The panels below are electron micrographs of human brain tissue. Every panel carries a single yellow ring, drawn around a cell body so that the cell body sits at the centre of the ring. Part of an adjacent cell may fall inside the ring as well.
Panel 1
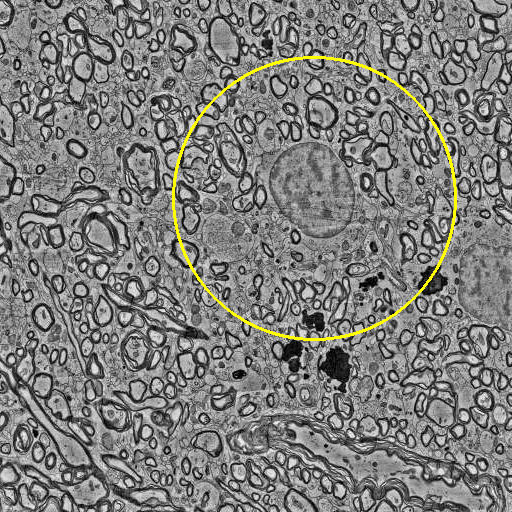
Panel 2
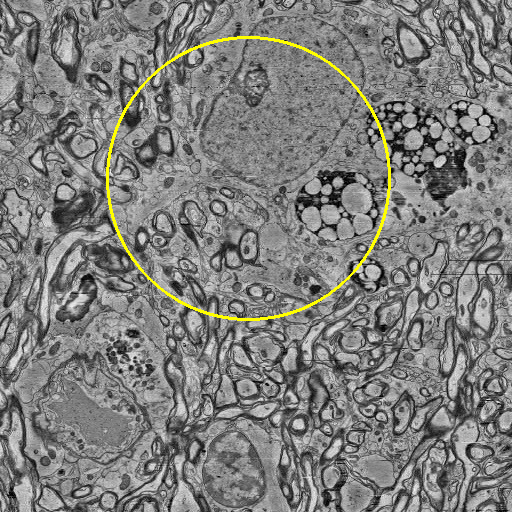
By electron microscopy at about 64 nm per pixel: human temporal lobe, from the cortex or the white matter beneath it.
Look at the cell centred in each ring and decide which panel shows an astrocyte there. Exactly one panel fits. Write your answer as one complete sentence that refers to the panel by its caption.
Panel 2 has it at the centre of its ring.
